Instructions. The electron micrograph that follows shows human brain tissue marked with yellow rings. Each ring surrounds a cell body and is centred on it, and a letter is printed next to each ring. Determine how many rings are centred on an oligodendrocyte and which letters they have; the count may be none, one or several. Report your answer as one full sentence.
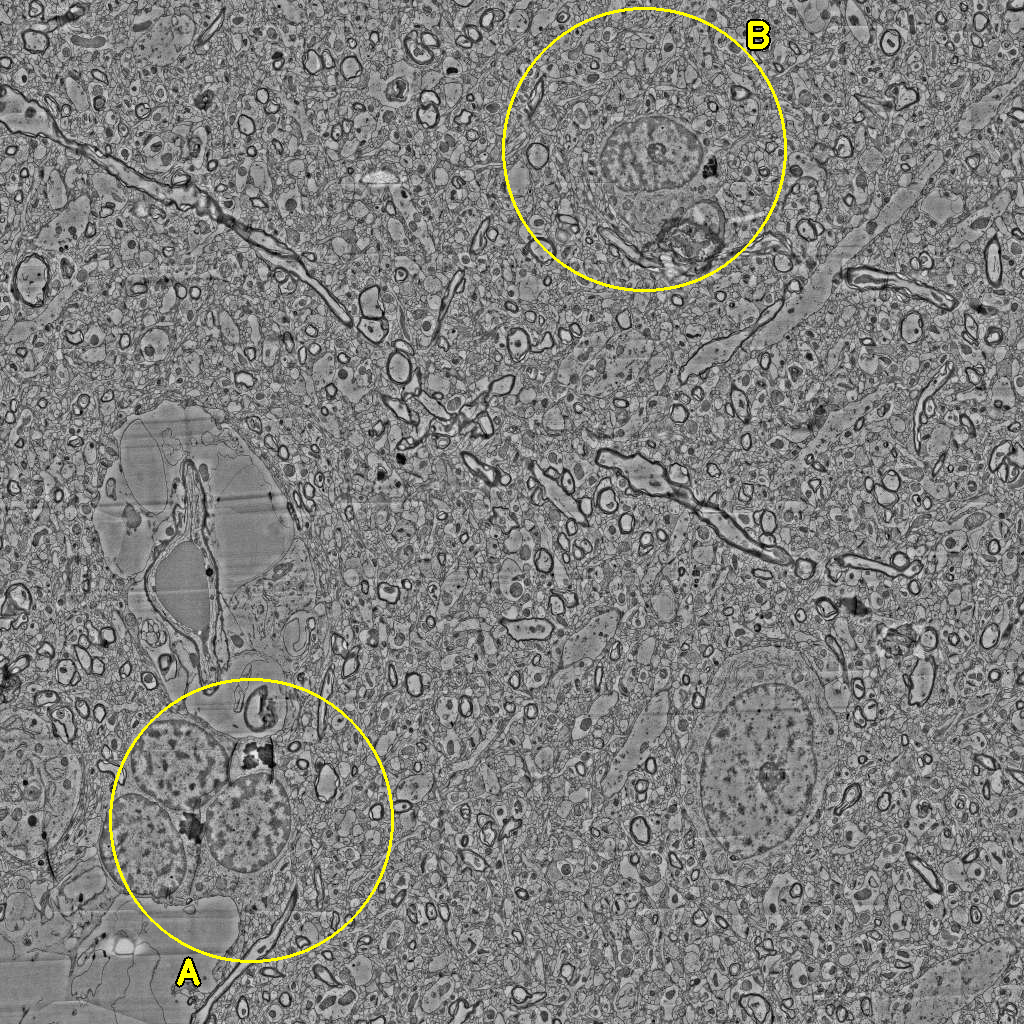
Altogether, two rings are centred on an oligodendrocyte apiece, namely the ones carrying the letters A and B.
